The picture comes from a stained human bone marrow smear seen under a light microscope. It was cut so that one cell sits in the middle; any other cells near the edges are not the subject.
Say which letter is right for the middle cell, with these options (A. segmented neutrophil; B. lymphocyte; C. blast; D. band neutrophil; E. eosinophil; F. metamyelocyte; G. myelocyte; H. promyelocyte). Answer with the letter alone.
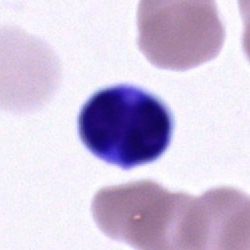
B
